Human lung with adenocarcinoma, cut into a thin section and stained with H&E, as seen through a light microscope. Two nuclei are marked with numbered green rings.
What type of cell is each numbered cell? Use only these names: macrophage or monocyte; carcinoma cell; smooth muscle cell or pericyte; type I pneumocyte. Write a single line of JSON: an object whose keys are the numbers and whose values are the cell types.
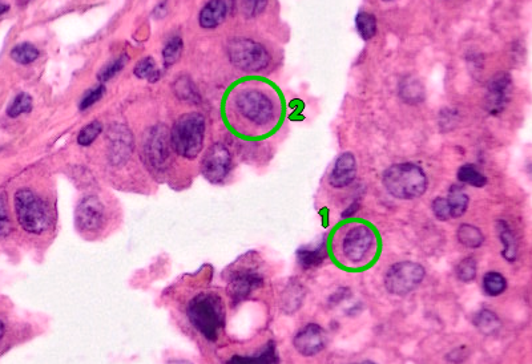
{"1": "macrophage or monocyte", "2": "carcinoma cell"}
